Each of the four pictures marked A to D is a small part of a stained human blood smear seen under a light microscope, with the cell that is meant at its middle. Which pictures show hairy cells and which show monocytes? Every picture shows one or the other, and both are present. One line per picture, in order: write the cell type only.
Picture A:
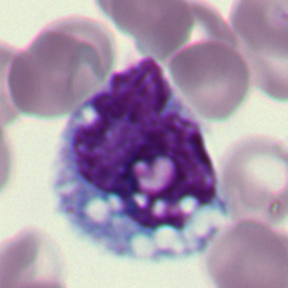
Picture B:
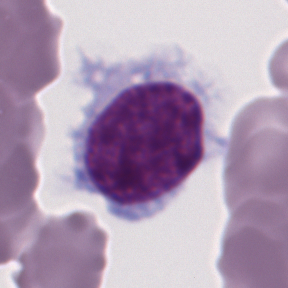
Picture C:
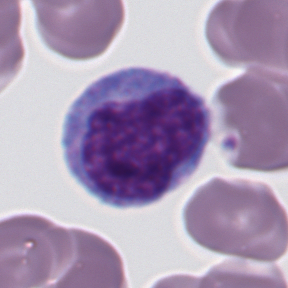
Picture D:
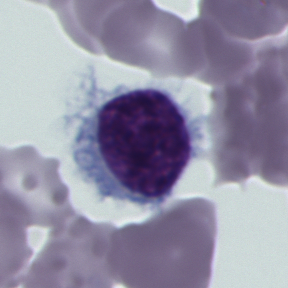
monocyte
hairy cell
monocyte
hairy cell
